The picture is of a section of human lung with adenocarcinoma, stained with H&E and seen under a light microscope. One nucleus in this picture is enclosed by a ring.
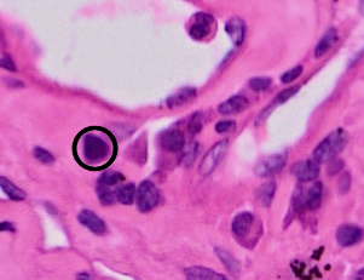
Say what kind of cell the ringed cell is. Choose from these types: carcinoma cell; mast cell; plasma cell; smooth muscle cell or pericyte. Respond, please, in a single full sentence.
In this tissue section, the ringed cell is to be classed as a plasma cell.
